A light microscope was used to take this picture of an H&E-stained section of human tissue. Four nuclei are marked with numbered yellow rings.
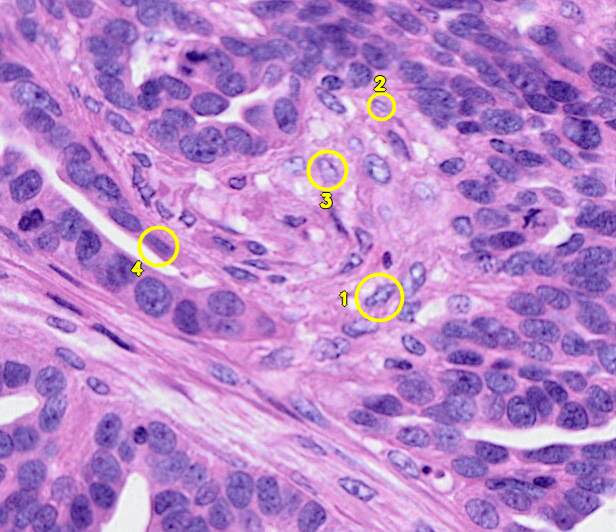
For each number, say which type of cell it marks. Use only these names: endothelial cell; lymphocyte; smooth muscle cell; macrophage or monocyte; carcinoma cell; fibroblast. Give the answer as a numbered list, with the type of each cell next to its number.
1. fibroblast
2. fibroblast
3. fibroblast
4. carcinoma cell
